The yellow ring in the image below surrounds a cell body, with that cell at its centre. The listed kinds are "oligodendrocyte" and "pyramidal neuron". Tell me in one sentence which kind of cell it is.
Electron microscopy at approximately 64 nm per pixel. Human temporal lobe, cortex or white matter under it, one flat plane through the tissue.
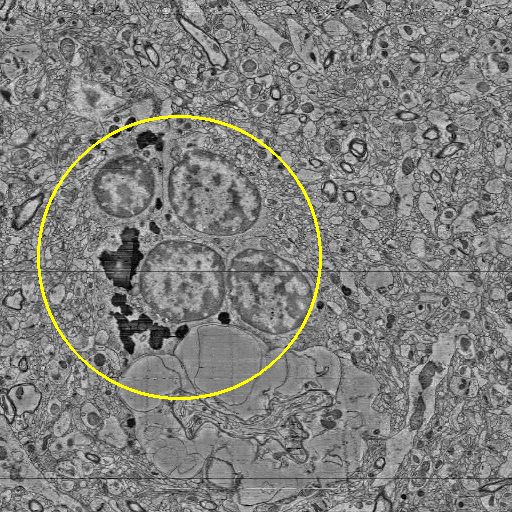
The centre of the ring holds an oligodendrocyte.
